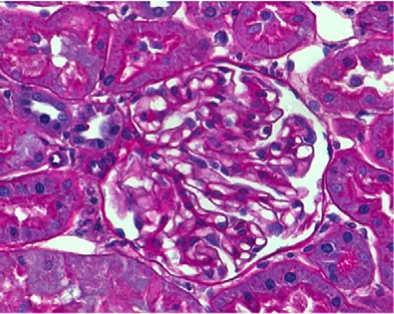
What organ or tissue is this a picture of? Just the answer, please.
Kidney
